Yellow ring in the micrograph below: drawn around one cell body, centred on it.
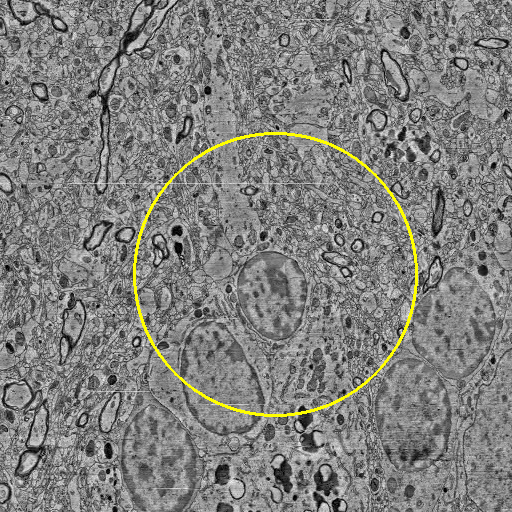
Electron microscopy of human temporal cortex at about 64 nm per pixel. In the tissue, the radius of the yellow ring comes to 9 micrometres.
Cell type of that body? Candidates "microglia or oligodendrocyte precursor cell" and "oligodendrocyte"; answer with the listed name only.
microglia or oligodendrocyte precursor cell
